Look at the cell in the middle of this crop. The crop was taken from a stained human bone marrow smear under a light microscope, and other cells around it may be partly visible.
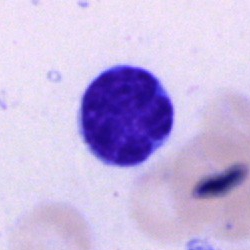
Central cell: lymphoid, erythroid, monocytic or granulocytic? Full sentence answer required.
In terms of lineage, the cell at the center is lymphoid.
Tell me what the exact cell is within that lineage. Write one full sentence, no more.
The cell found in the middle of this crop is a lymphocyte.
